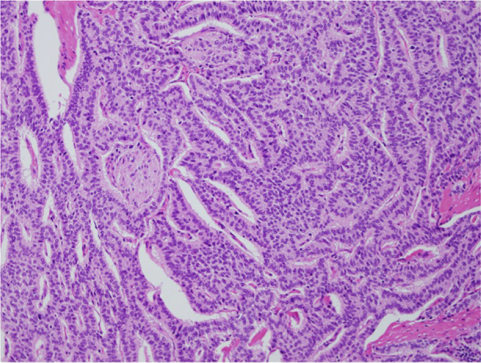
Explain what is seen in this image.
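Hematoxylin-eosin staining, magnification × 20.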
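Sheets of crowded atypical cells with dark, hyperchromatic oval nuclei and scant pink cytoplasm fill the field. The cells are arranged in interlacing ribbons and tubule-like structures that line elongated, slit-like empty spaces.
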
